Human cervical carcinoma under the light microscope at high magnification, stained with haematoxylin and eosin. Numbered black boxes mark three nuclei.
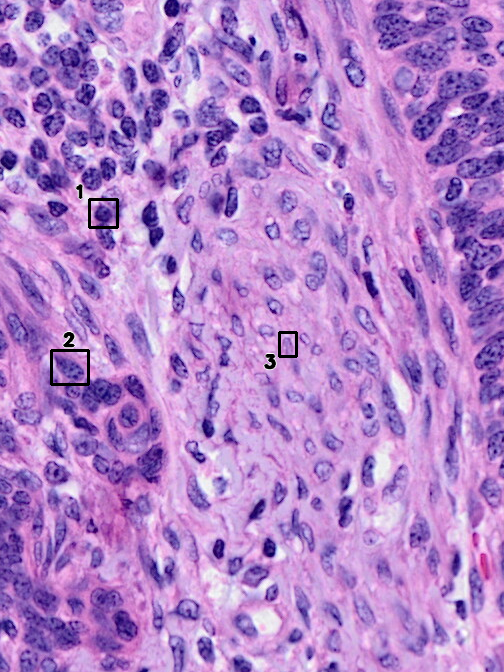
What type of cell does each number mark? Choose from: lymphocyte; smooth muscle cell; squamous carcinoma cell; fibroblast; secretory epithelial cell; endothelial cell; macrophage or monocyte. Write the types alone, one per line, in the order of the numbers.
lymphocyte
squamous carcinoma cell
smooth muscle cell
